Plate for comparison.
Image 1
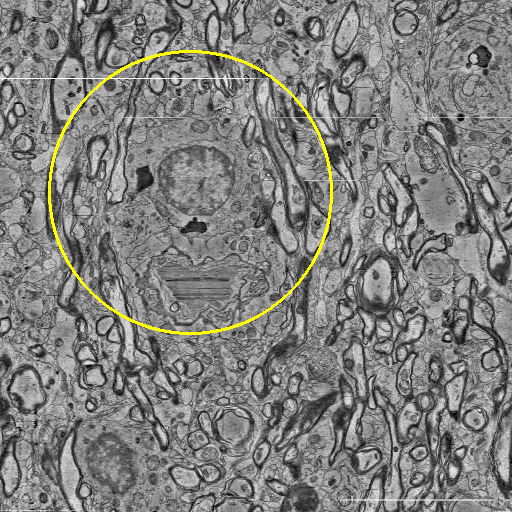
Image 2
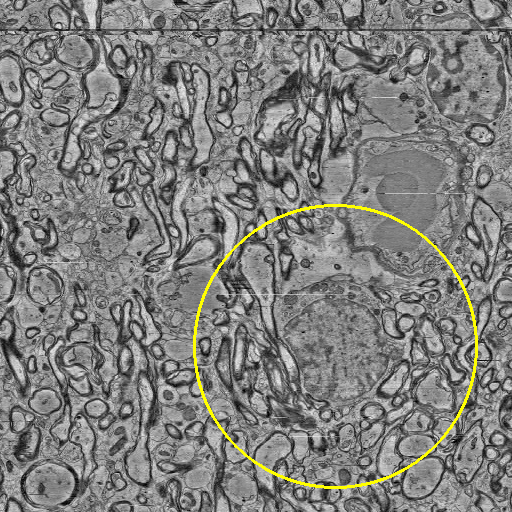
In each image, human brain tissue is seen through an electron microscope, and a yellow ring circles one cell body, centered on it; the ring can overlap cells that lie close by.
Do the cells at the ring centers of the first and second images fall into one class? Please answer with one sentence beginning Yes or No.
Yes, the first and second images show a single class of cell at the ring centers.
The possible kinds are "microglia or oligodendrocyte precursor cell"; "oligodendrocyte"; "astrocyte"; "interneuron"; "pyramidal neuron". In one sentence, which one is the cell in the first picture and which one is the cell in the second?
Each of the ringed cells, first and second, is an oligodendrocyte.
